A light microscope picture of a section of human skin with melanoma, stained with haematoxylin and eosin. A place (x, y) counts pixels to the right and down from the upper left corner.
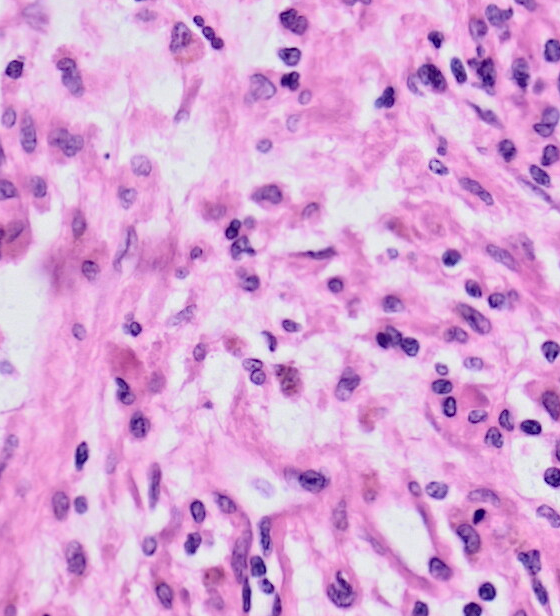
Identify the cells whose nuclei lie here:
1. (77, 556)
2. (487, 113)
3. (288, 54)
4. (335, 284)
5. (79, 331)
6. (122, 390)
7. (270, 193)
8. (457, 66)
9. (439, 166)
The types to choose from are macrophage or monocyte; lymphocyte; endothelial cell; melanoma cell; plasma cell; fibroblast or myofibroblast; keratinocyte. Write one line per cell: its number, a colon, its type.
1: macrophage or monocyte
2: fibroblast or myofibroblast
3: lymphocyte
4: macrophage or monocyte
5: macrophage or monocyte
6: macrophage or monocyte
7: macrophage or monocyte
8: lymphocyte
9: lymphocyte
